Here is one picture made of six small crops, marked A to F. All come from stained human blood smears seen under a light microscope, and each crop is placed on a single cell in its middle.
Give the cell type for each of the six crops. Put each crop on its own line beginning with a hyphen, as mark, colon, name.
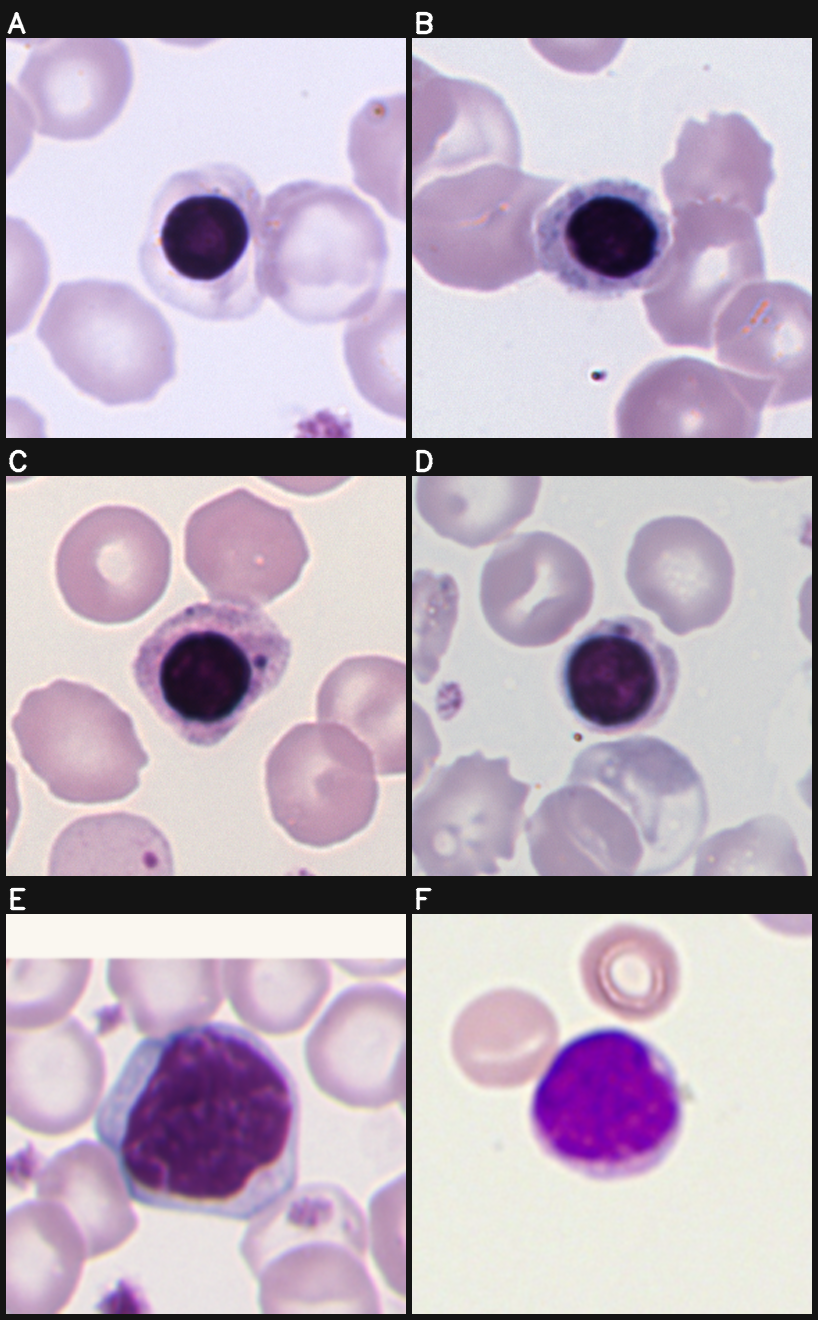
- A: normoblast
- B: normoblast
- C: normoblast
- D: normoblast
- E: lymphocyte
- F: lymphocyte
